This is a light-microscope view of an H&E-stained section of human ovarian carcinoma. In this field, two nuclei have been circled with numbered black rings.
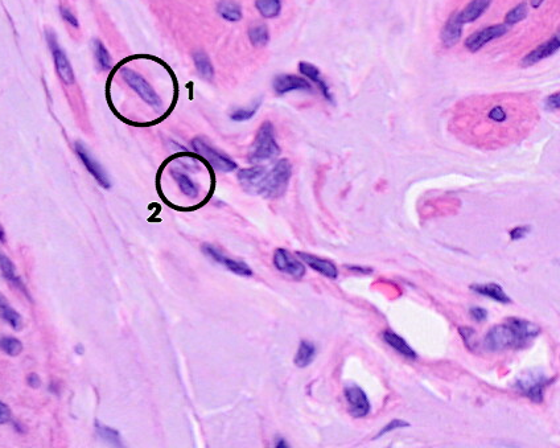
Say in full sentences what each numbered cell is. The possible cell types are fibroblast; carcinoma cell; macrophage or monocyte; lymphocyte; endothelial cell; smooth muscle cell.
Cell 1 is a smooth muscle cell. Cell 2 is an endothelial cell.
